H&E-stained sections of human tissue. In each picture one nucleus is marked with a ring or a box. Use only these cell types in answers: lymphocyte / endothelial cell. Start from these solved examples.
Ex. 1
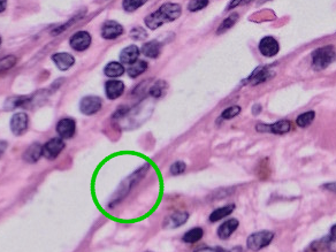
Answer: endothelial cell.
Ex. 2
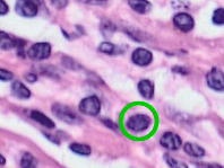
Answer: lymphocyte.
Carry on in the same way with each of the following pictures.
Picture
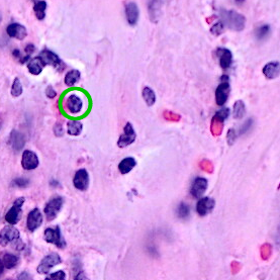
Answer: lymphocyte.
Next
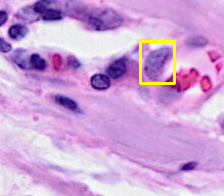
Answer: endothelial cell.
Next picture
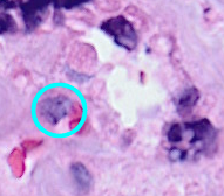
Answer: endothelial cell.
